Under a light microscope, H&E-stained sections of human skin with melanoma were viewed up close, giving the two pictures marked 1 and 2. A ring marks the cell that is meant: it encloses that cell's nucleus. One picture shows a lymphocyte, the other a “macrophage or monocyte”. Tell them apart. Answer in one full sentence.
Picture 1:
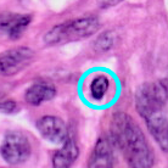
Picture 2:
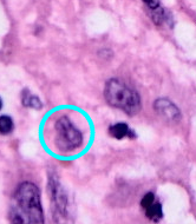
It is picture 1 that shows a lymphocyte, and picture 2 that shows a “macrophage or monocyte”.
